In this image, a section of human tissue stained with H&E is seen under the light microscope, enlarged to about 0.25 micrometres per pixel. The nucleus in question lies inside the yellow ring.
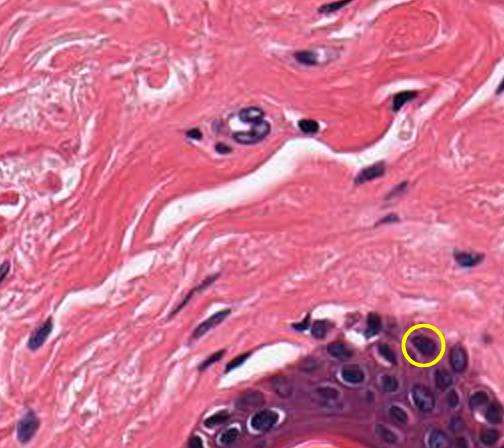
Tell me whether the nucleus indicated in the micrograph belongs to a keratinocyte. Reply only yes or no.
yes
